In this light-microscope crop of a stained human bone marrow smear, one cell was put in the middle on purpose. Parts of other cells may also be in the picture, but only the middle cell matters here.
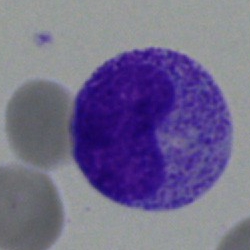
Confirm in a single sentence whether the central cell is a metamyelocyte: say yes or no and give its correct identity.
Yes, what sits in the middle of the crop is a metamyelocyte.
